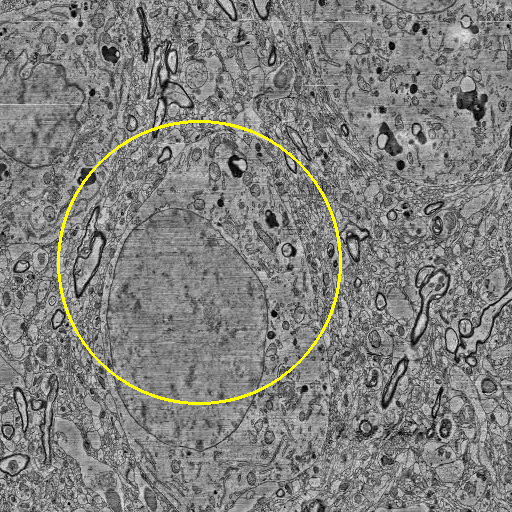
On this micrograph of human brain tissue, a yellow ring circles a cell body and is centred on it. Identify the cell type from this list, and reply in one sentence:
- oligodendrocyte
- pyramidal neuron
The cell at the centre is a pyramidal neuron.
